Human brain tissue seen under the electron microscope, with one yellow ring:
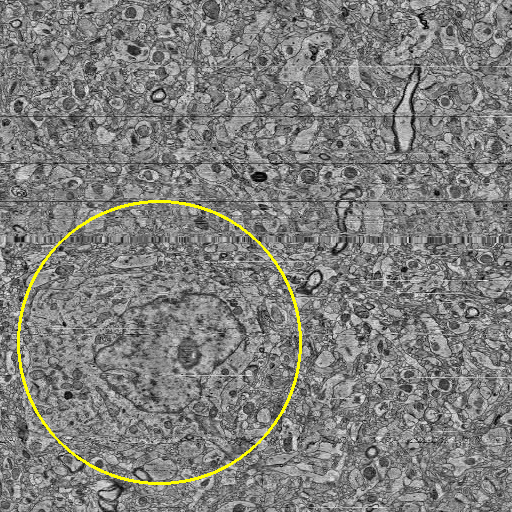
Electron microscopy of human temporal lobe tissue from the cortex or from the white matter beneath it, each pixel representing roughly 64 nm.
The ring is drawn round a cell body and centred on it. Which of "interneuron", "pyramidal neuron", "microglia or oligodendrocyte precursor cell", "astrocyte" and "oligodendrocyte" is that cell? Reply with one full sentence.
The picture shows an interneuron at the very centre of the yellow ring.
